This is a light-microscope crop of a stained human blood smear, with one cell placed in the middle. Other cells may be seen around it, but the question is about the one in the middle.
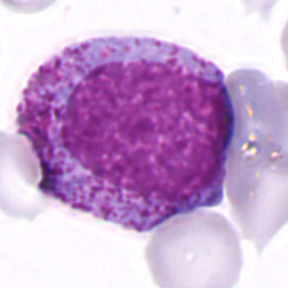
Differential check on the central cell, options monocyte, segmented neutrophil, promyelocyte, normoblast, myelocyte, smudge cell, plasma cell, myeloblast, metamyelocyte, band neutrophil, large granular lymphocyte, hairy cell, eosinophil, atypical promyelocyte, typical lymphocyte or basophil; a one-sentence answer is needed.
What sits at the centre of this crop is a promyelocyte.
